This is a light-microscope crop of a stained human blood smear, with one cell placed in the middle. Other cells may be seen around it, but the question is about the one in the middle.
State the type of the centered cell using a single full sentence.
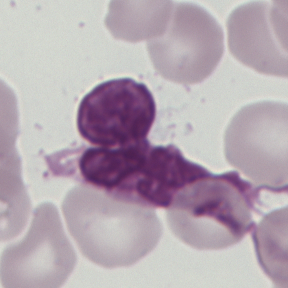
At the middle of the frame sits a smudge cell.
